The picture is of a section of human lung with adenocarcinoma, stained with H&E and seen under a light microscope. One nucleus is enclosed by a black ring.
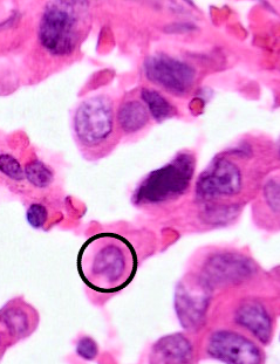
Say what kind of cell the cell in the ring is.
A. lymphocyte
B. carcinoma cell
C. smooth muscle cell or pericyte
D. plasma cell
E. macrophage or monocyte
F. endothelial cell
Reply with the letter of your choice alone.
E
